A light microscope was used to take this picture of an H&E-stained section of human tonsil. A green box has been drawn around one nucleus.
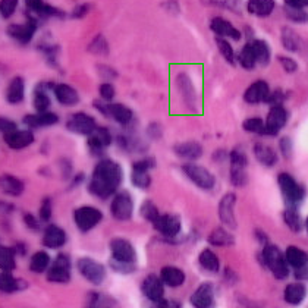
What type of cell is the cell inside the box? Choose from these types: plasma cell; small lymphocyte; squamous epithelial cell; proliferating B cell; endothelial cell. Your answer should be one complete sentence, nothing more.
As classified here, the cell inside the box is an endothelial cell.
